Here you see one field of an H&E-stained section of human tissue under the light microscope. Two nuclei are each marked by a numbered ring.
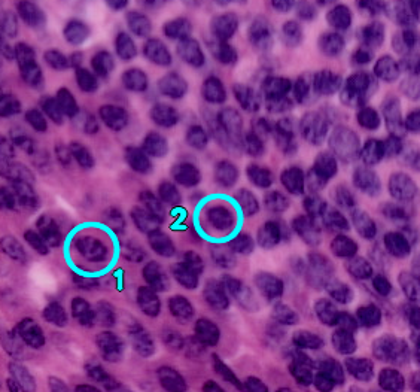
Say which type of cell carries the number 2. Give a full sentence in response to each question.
That cell with number 2 is a small lymphocyte.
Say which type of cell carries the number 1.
That cell with number 1 is a plasma cell.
